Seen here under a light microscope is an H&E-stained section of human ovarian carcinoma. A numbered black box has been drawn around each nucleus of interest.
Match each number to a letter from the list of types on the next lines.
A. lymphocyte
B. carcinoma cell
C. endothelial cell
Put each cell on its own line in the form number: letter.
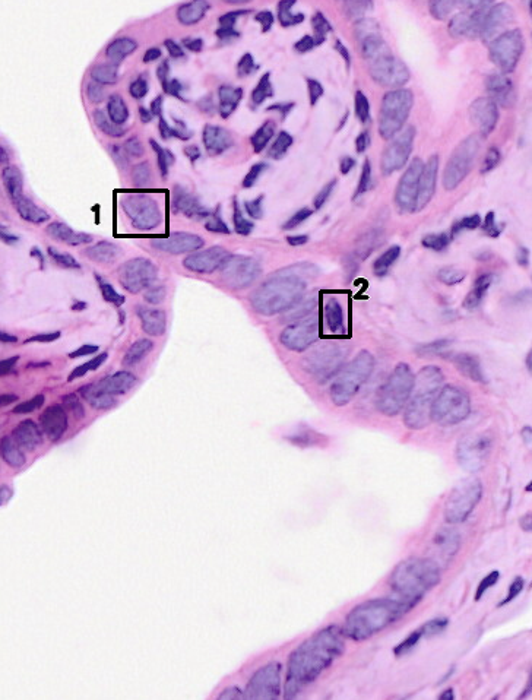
1: B
2: A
